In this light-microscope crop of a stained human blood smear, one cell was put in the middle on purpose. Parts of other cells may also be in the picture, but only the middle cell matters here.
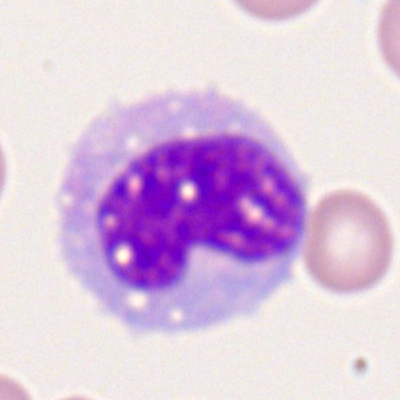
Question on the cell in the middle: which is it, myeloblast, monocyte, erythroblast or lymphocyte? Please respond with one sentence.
Centrally within this crop lies a monocyte.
